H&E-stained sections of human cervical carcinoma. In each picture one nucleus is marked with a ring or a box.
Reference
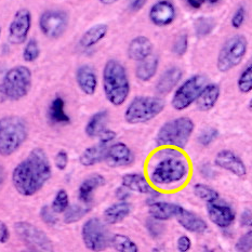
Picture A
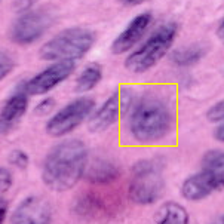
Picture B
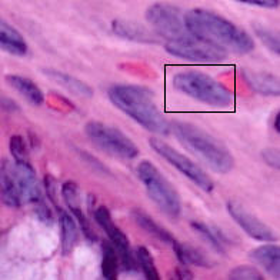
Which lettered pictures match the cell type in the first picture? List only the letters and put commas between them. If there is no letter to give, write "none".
A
